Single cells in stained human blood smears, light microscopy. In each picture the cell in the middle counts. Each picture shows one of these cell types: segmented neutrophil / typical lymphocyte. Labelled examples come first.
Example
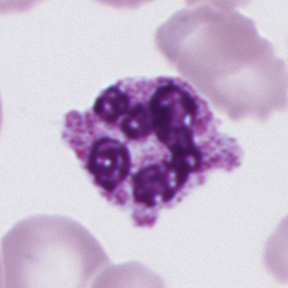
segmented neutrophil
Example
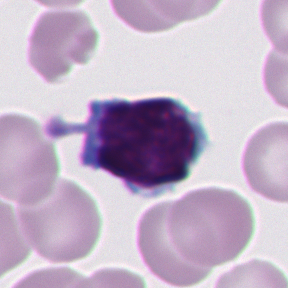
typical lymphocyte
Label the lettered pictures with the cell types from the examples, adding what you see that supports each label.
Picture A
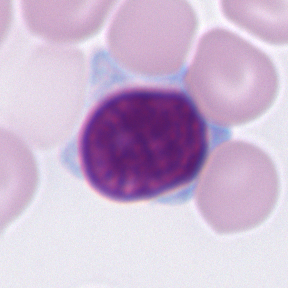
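Answer: typical lymphocyte. The cytoplasm is scant compared with the large nucleus.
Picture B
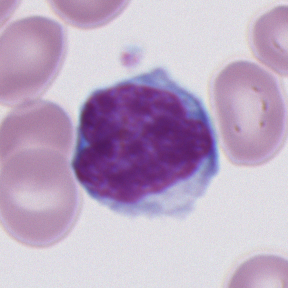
Answer: typical lymphocyte. The cytoplasm forms a narrow rim that is widest along the lower edge of the cell.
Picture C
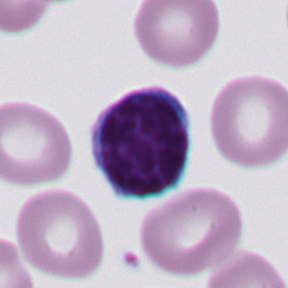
Answer: typical lymphocyte. The cytoplasm is only a very thin pale bluish rim at the edge of the cell.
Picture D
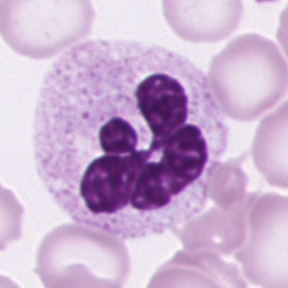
Answer: segmented neutrophil. The cytoplasm is plentiful and pale pinkish-lilac.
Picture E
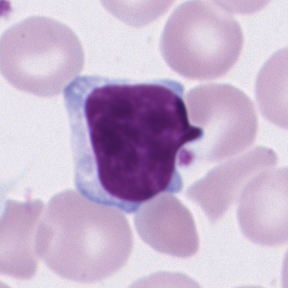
Answer: typical lymphocyte. The nucleus fills most of the cell.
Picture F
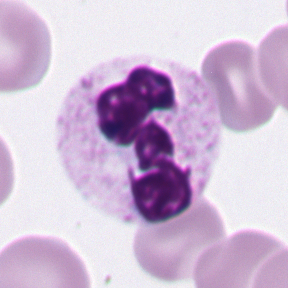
Answer: segmented neutrophil. The nucleus is split into at least three separate lobes.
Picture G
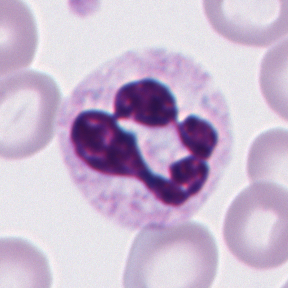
Answer: segmented neutrophil. The nucleus is split into four or more lobes joined by narrow strands.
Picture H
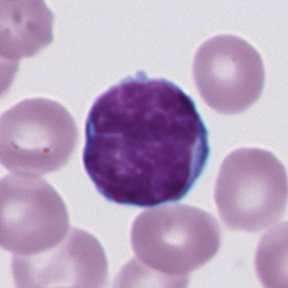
Answer: typical lymphocyte. The cytoplasm forms a thin rim that is widest on the right side.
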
